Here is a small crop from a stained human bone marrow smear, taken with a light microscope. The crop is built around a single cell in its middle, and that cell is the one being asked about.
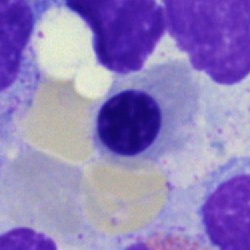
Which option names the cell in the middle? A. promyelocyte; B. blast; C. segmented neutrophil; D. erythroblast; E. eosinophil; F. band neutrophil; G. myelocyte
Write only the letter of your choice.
D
